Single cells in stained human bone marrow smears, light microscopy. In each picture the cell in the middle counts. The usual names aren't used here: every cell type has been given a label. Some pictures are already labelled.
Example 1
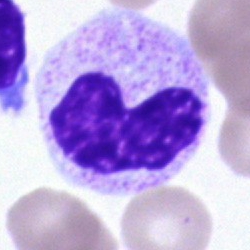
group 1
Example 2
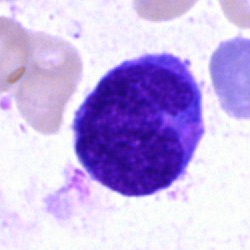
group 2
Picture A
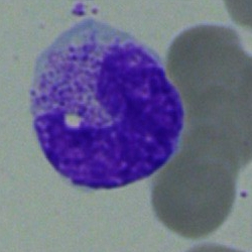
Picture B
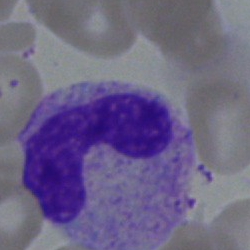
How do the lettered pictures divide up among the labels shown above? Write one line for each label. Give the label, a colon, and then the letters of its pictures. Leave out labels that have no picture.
group 1: A, B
